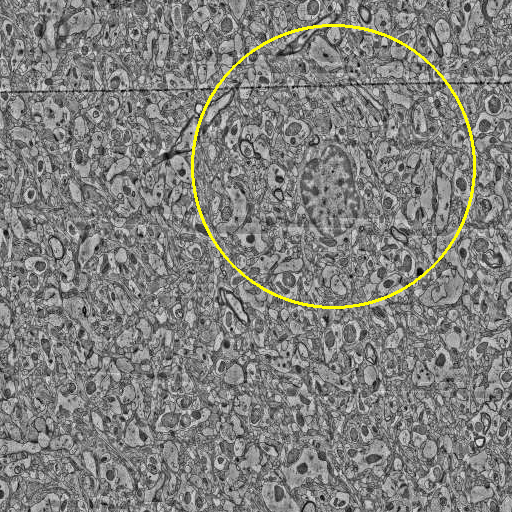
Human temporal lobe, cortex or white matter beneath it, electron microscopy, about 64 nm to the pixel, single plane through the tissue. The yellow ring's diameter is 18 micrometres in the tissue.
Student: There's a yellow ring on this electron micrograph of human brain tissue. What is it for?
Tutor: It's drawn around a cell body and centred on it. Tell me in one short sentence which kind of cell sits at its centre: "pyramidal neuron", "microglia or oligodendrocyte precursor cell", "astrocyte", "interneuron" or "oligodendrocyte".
The cell at the centre of the ring is an oligodendrocyte.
